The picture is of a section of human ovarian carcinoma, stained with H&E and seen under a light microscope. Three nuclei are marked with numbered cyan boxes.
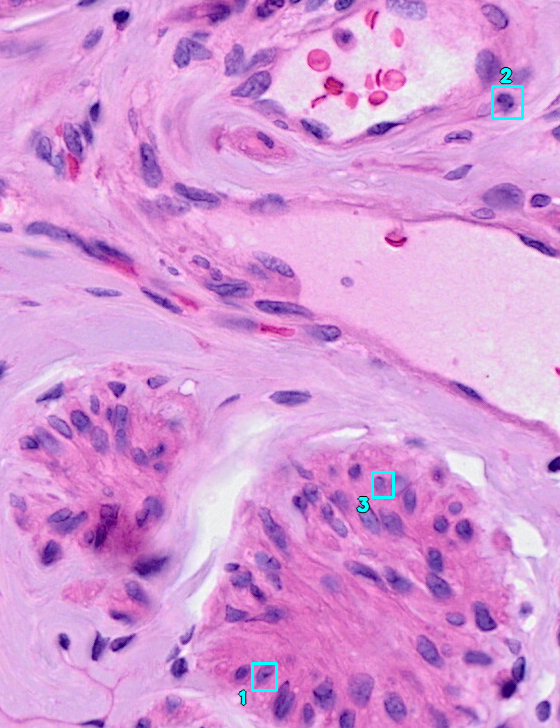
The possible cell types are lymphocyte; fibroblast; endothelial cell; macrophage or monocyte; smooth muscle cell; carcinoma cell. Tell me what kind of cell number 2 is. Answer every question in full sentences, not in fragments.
The one labeled 2 is a lymphocyte, to put it simply.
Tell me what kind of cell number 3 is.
Recognised here as a smooth muscle cell is the cell numbered 3.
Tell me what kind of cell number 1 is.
The cell that carries the label 1 is a smooth muscle cell.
